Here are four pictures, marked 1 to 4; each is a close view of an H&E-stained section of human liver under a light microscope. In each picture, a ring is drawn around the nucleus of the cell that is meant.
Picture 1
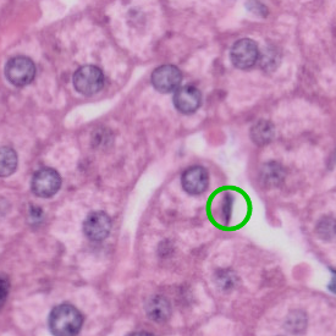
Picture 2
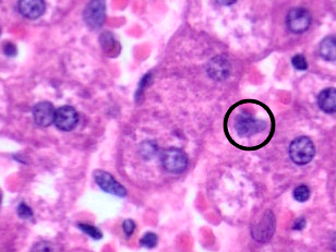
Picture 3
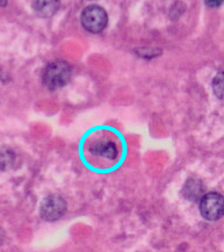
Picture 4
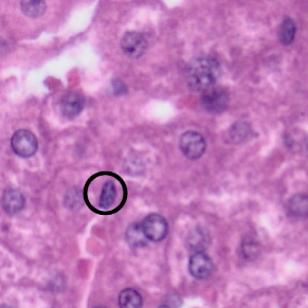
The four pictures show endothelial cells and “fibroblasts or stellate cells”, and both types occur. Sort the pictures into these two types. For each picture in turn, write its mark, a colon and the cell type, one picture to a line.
1: endothelial cell
2: endothelial cell
3: endothelial cell
4: fibroblast or stellate cell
